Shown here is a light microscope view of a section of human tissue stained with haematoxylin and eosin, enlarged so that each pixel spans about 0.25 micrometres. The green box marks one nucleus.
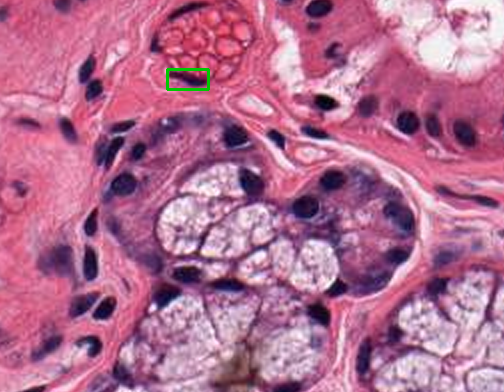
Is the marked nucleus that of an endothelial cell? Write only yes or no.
yes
